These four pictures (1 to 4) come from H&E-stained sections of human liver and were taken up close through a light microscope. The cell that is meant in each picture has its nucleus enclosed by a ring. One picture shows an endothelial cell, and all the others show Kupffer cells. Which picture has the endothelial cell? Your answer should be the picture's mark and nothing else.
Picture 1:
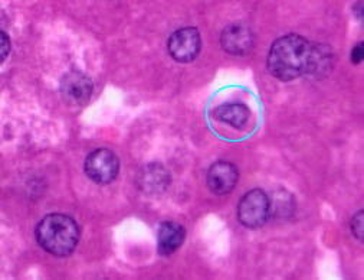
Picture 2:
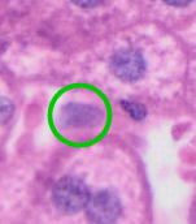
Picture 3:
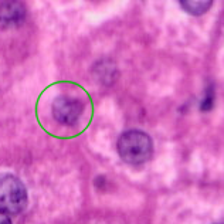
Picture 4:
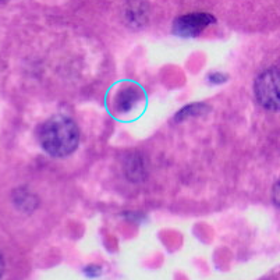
3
